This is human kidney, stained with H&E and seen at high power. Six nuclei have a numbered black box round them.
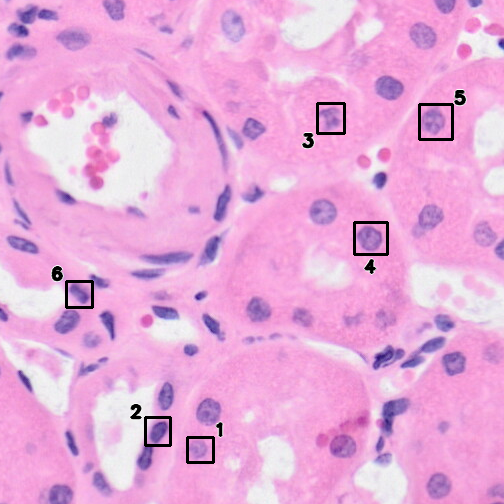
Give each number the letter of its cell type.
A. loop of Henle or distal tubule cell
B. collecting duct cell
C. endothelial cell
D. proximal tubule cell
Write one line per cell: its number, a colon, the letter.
1: D
2: B
3: D
4: D
5: D
6: B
